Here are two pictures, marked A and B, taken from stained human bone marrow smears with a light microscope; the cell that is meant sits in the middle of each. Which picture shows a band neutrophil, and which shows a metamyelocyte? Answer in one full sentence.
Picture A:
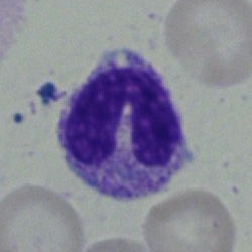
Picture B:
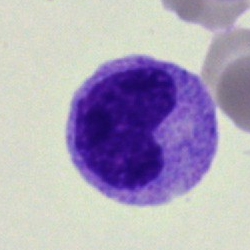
The cell in picture A is a band neutrophil, and the one in picture B is a metamyelocyte.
